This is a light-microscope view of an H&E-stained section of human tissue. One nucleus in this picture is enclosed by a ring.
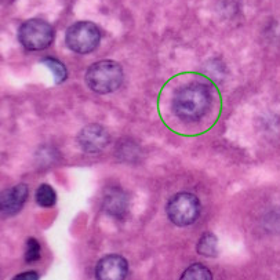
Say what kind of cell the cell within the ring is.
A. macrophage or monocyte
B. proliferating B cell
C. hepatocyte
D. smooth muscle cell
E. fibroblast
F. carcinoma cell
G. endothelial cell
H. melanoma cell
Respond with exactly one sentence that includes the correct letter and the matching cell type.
Option C names the cell within the ring correctly as a hepatocyte.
